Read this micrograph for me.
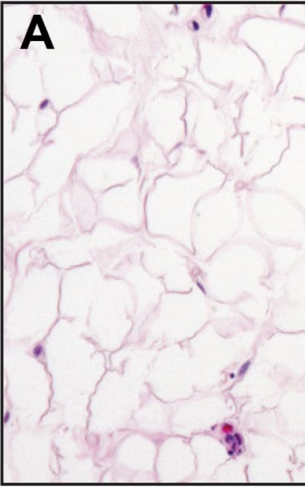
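Adipose tissue made of closely packed, large polygonal fat cells, each filled by a single clear lipid vacuole with a thin pink rim of cytoplasm. Nuclei are few, flattened and purple at the cell edges, with scattered small cells and tiny vessels in the narrow spaces between fat cells.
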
